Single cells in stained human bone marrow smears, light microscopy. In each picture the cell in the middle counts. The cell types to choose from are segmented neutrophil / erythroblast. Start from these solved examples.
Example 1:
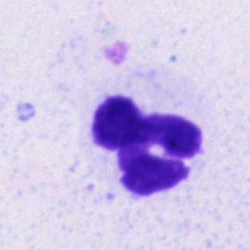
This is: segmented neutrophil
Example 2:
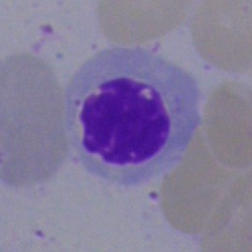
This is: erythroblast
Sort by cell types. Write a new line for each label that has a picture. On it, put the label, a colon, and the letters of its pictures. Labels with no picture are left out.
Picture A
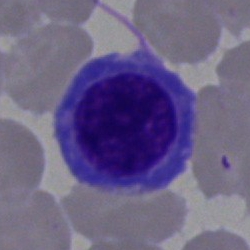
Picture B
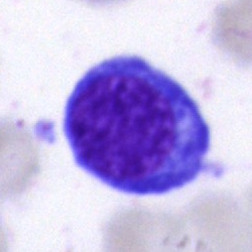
erythroblast: A, B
